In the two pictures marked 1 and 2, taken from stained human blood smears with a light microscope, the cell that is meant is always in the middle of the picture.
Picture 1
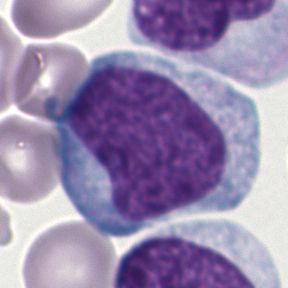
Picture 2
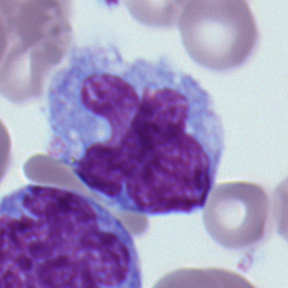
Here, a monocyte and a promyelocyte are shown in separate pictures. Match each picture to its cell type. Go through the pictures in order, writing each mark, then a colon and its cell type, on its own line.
1: promyelocyte
2: monocyte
